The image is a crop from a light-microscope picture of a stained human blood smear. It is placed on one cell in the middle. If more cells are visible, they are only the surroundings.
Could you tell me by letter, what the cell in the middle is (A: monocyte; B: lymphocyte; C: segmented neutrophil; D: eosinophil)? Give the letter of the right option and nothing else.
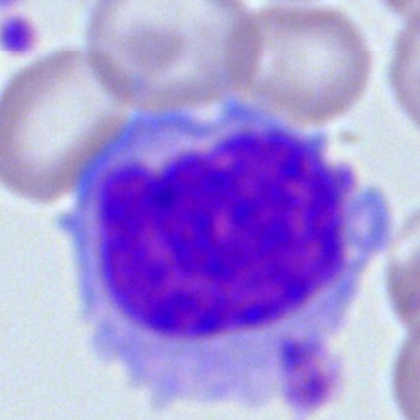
A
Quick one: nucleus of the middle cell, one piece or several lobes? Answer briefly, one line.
The nucleus holds together as a single compact mass, round, oval or kidney-like.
